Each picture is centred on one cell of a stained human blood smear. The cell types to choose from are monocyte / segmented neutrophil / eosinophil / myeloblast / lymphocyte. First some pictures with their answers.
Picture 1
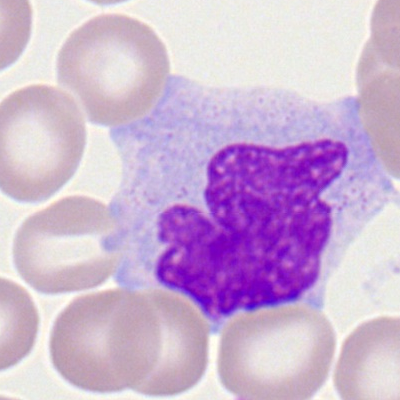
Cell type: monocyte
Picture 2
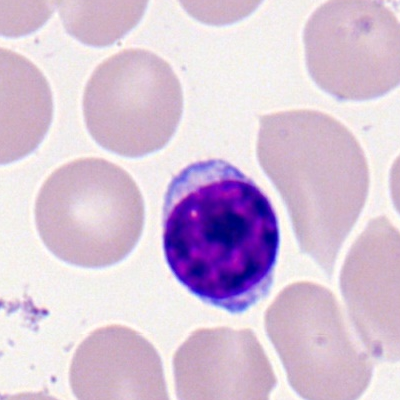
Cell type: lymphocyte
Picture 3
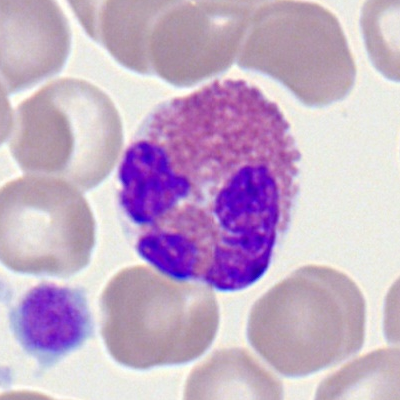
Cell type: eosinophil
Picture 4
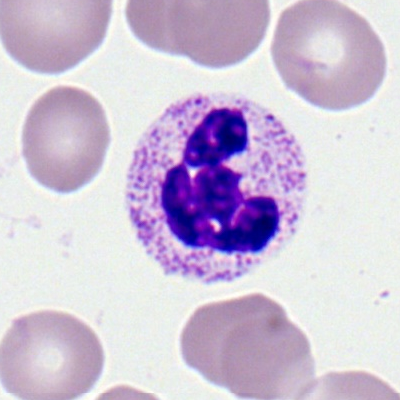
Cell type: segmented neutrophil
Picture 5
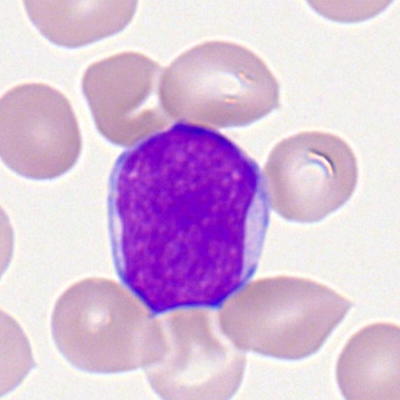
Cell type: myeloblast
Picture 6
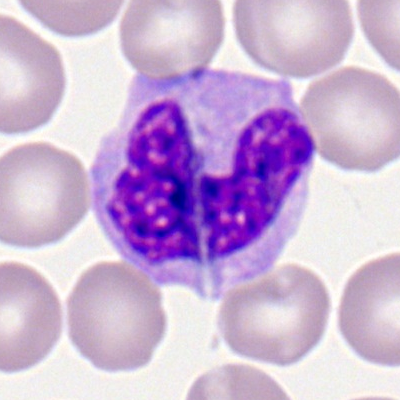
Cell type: monocyte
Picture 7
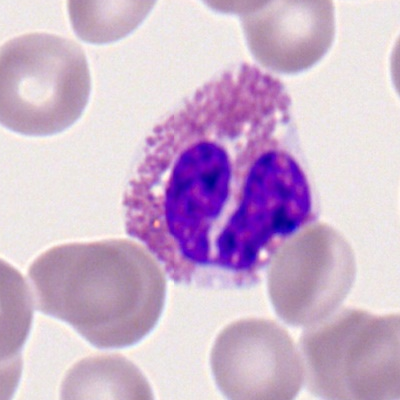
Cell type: eosinophil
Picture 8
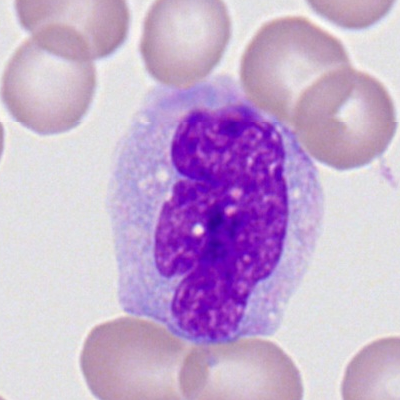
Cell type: monocyte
